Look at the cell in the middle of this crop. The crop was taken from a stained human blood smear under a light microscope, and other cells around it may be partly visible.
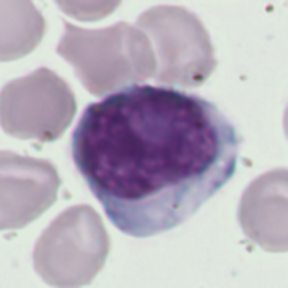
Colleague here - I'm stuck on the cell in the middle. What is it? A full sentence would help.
Framed in the middle of the crop is a plasma cell.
